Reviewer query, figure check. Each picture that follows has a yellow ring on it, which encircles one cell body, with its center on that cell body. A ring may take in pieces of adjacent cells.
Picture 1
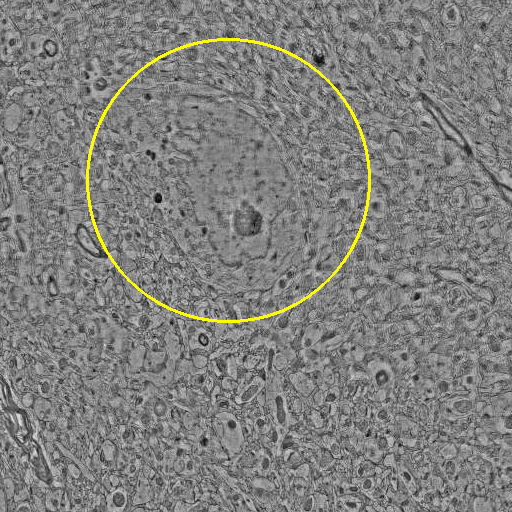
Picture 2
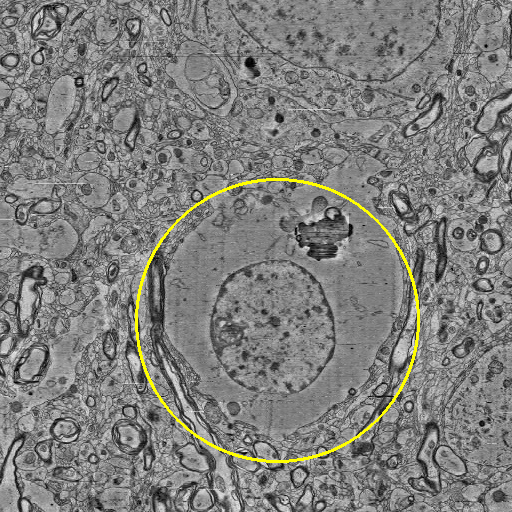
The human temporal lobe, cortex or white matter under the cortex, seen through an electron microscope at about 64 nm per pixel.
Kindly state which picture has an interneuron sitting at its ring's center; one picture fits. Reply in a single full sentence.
In picture 1, the cell at the center of the ring is the requested one.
